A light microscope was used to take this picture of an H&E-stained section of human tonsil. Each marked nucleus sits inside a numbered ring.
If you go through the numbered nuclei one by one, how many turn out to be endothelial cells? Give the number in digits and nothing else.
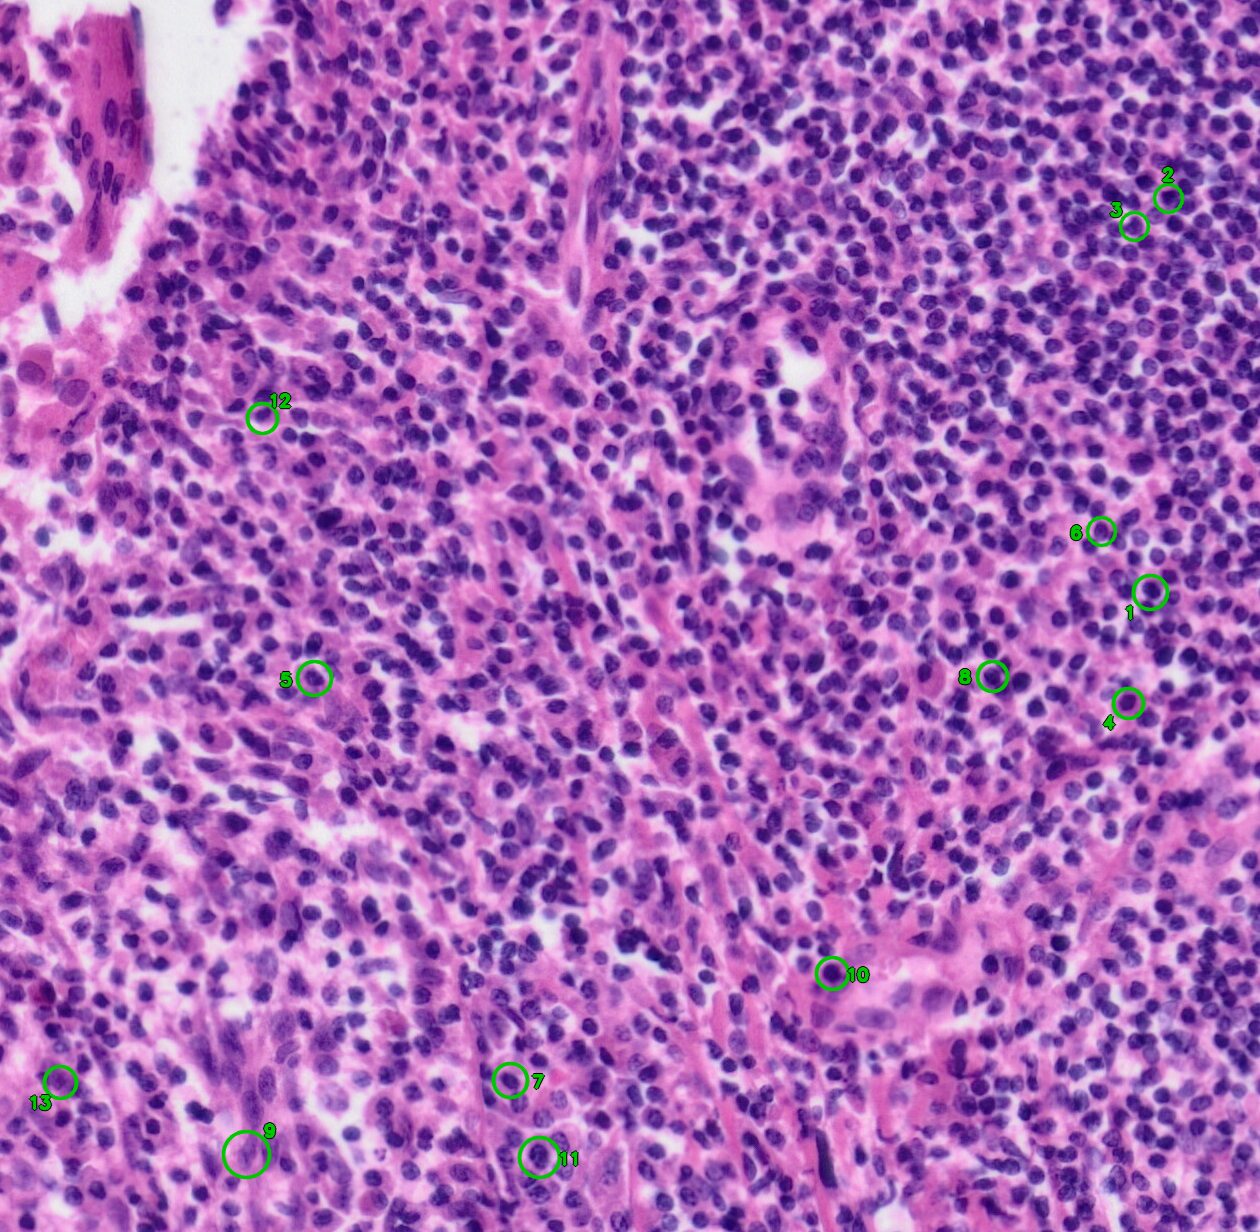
1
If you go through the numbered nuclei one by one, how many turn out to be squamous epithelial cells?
2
